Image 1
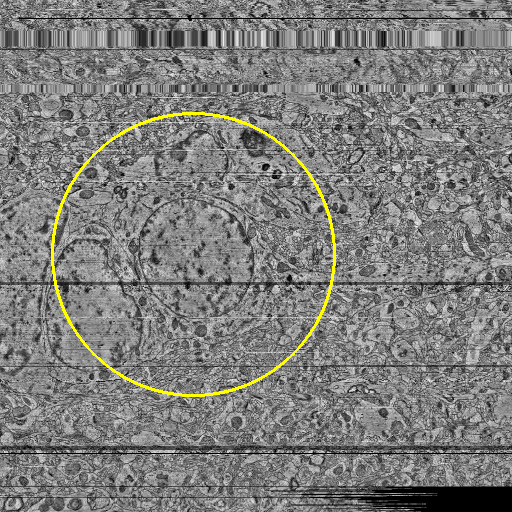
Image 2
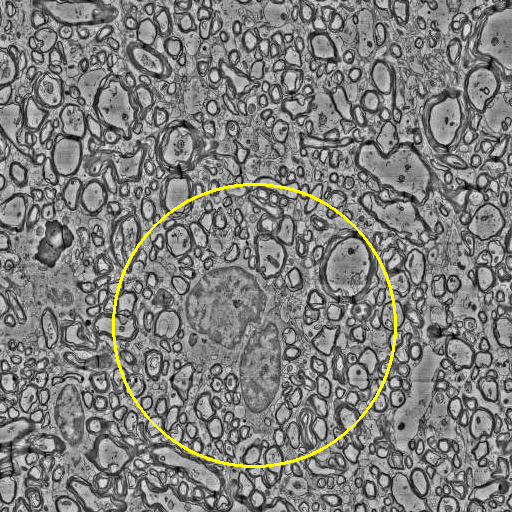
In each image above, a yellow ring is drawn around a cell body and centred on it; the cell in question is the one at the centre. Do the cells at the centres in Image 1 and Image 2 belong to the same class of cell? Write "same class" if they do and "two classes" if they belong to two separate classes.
two classes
